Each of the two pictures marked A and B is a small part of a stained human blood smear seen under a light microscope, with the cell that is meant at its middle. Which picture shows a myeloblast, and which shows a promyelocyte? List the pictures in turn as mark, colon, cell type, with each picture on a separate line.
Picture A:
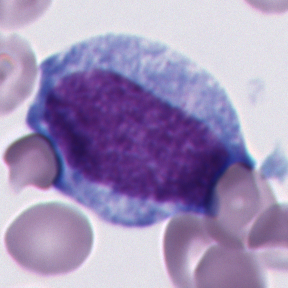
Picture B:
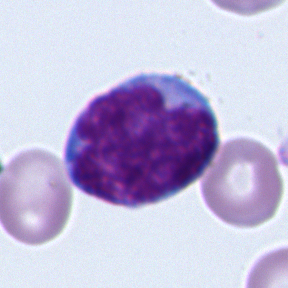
A: promyelocyte
B: myeloblast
